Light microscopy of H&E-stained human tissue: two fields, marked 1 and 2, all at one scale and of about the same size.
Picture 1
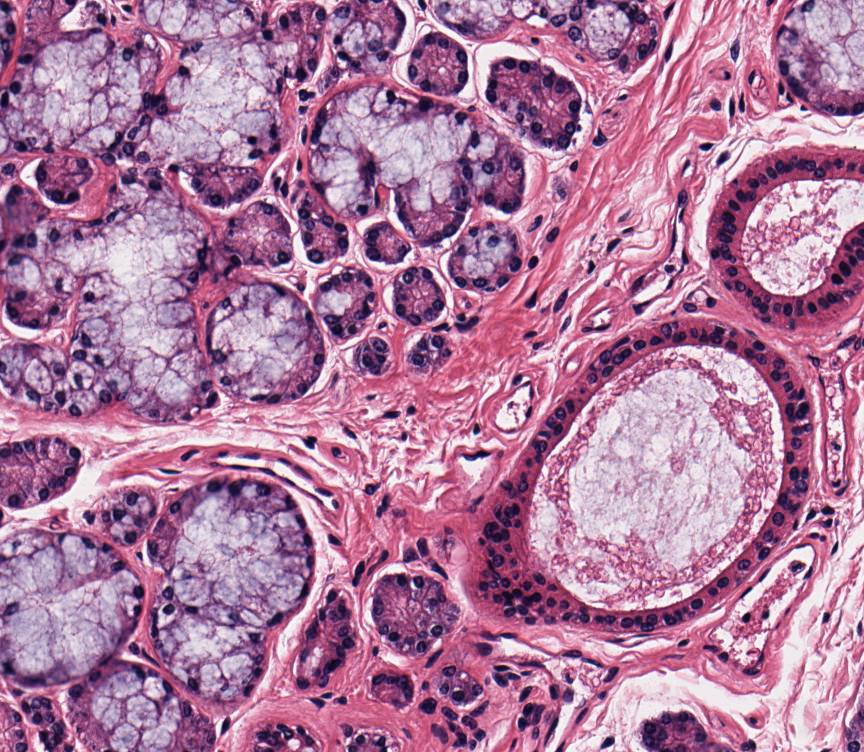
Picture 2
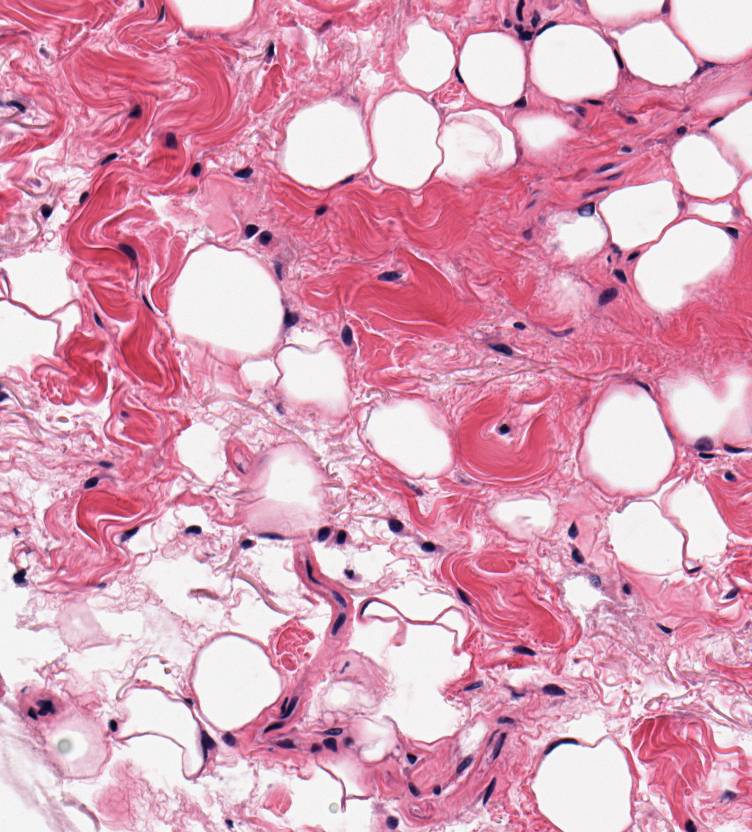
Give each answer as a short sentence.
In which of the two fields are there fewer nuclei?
It is picture 2 that has fewer nuclei in it.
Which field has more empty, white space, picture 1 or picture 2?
Unstained space takes up more of picture 2 than of picture 1.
